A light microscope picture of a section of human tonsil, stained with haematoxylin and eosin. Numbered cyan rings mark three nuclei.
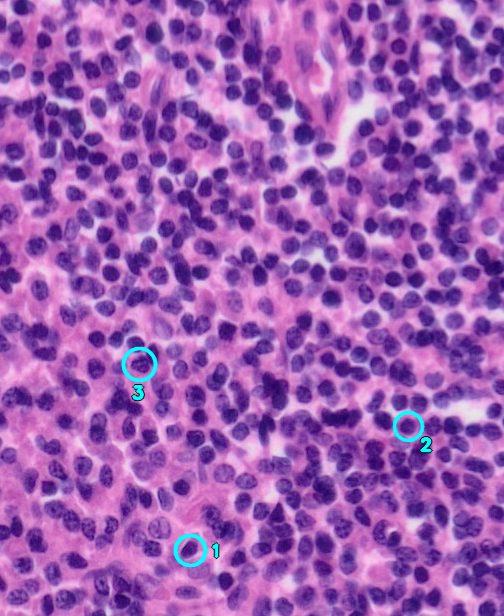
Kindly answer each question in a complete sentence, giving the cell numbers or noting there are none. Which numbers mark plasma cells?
Regarding the numbered cells 1 and 3, these are plasma cells.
